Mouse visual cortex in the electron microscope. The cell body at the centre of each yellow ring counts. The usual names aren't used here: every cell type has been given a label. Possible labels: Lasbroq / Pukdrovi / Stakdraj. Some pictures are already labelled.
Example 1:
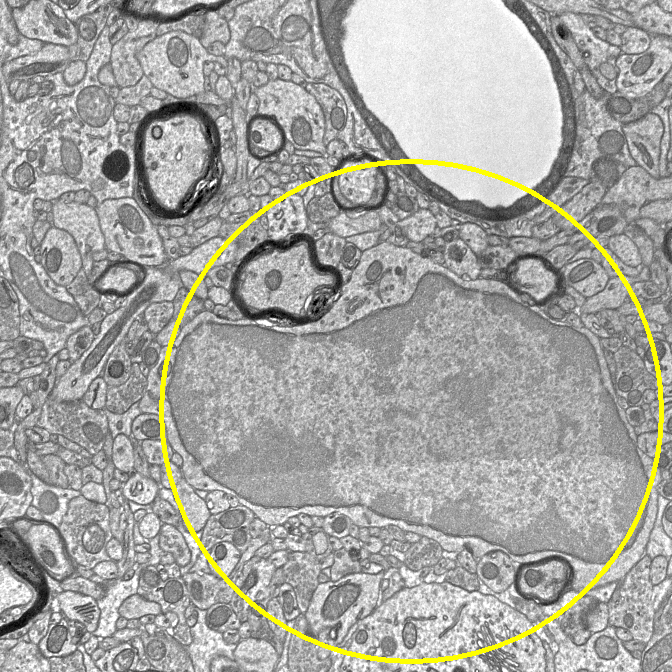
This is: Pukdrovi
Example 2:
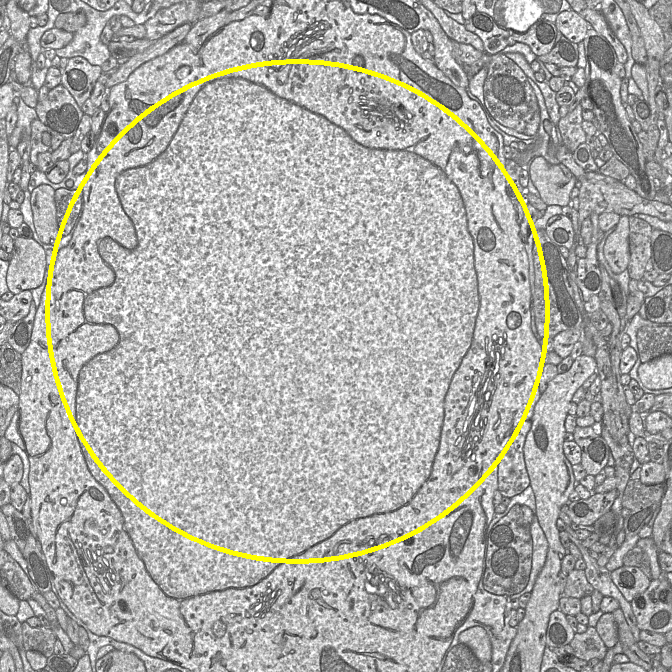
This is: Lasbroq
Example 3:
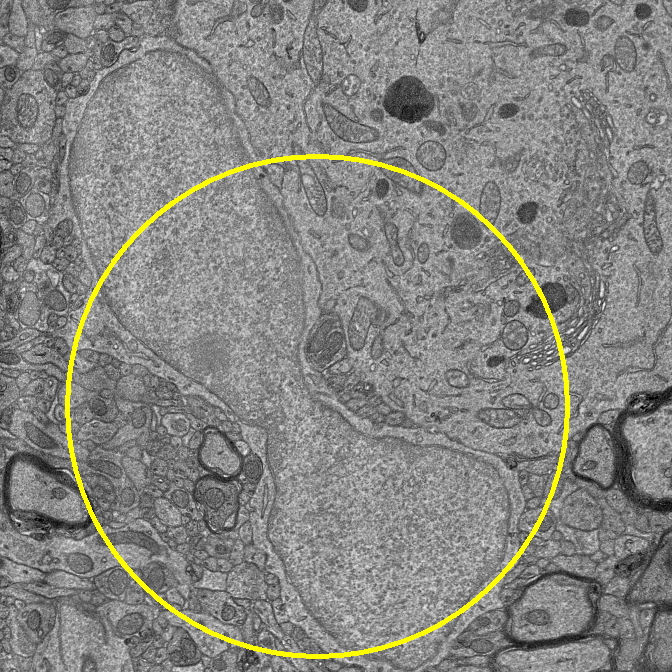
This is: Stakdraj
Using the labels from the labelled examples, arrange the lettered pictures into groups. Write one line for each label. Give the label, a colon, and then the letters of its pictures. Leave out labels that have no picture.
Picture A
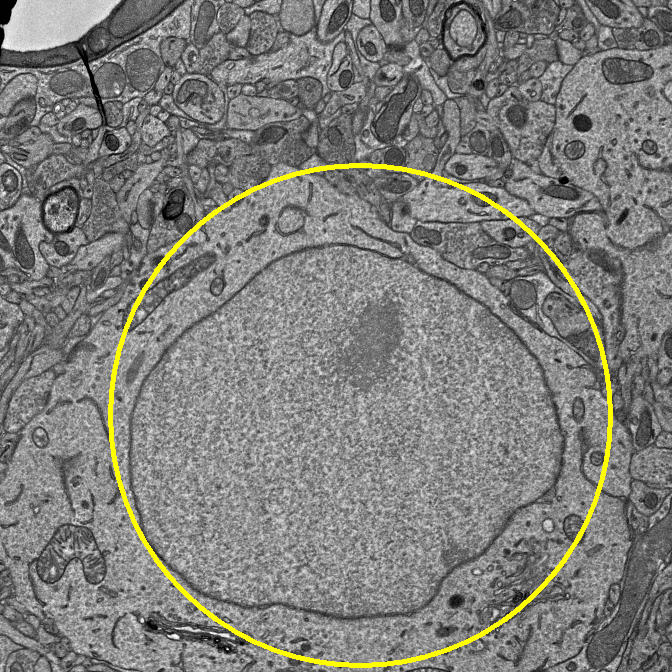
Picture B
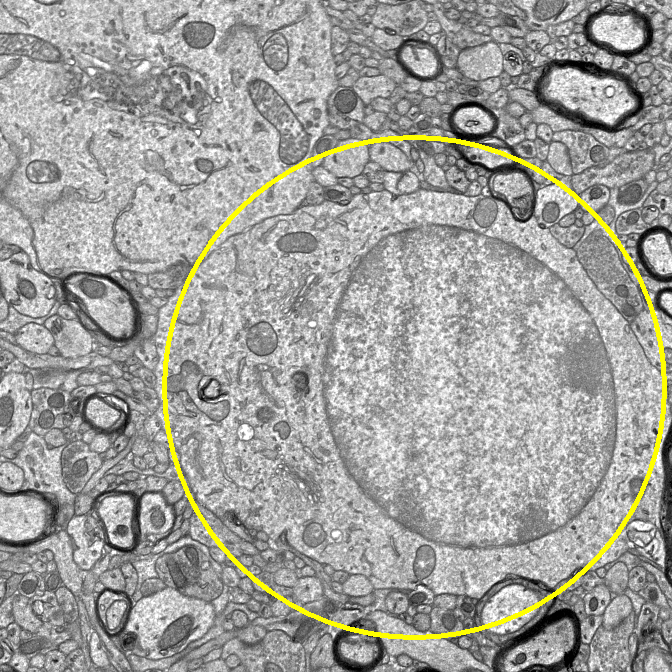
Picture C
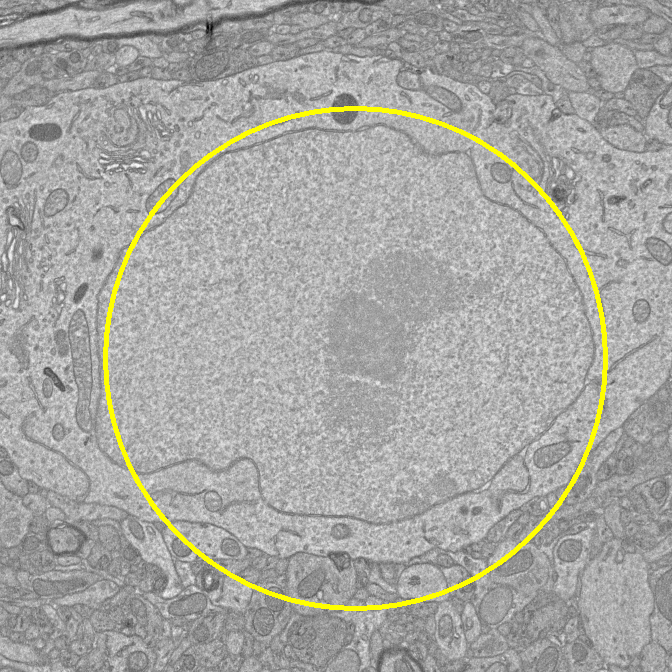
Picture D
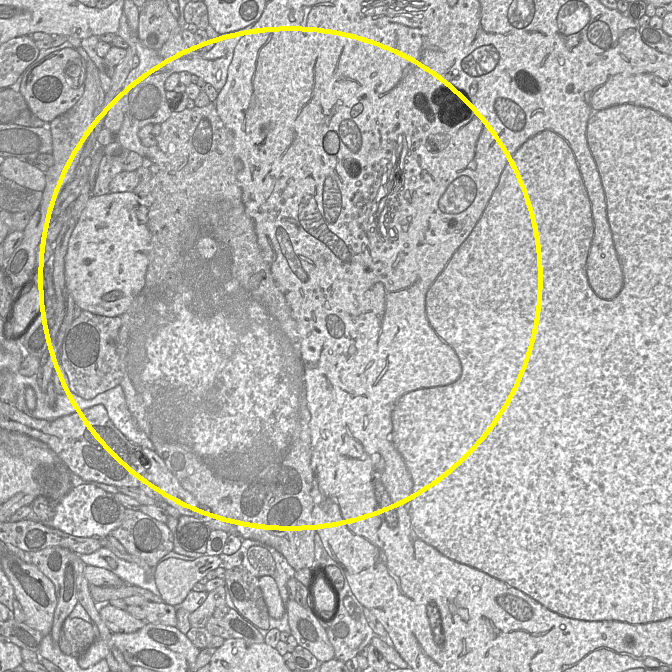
Lasbroq: A, C
Stakdraj: B, D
